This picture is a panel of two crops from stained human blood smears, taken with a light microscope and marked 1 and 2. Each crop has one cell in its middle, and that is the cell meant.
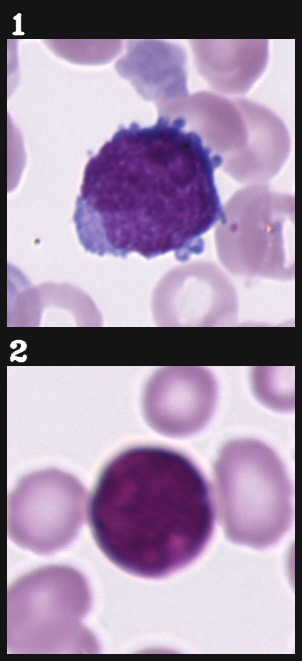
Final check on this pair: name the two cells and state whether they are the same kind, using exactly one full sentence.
Yes, blasts are centred in both crops.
